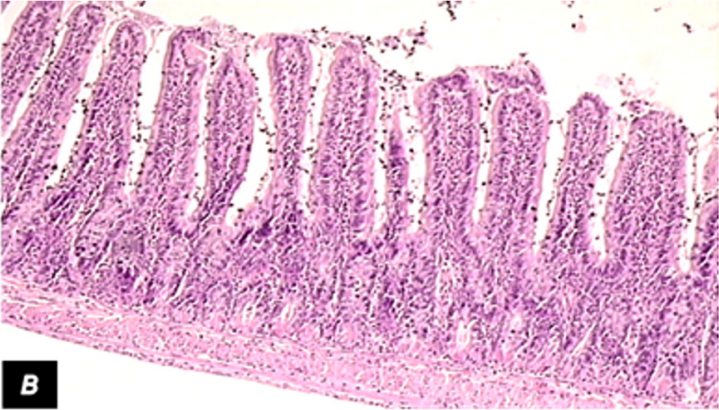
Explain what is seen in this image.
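Small intestinal wall with long, slender villi projecting into the lumen. Each villus is covered by a single layer of columnar epithelium with basal purple nuclei, around a densely cellular core. The bases of the villi merge into a thick band of closely packed glandular crypts. Beneath the mucosa runs a thin pink layer of smooth muscle at the lower edge of the section. Loose debris and scattered cells lie in the lumen above the villus tips.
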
